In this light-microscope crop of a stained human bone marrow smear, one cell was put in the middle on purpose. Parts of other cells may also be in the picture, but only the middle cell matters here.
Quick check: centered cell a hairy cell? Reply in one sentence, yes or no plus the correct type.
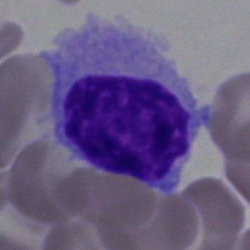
Yes, a hairy cell occupies the middle of the crop.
